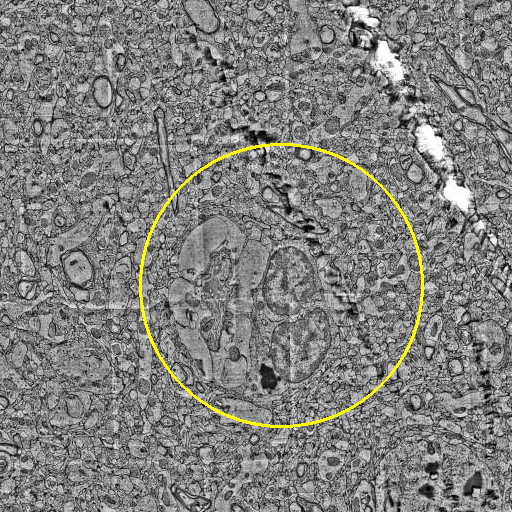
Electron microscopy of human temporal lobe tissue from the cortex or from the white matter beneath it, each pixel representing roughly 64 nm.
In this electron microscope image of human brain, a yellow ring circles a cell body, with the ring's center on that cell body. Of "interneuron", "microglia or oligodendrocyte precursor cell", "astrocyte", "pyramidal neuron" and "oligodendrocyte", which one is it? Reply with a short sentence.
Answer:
It is an oligodendrocyte at the center of the ring.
